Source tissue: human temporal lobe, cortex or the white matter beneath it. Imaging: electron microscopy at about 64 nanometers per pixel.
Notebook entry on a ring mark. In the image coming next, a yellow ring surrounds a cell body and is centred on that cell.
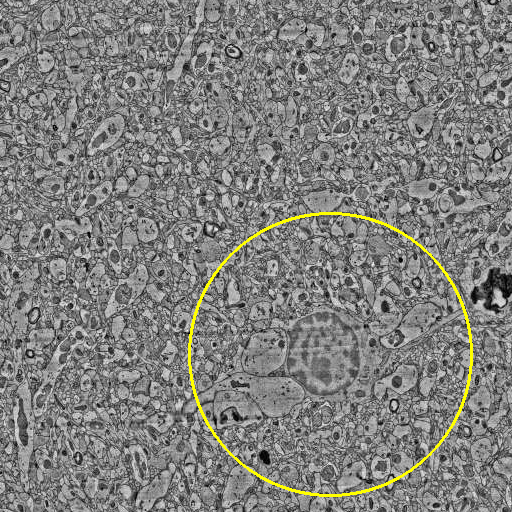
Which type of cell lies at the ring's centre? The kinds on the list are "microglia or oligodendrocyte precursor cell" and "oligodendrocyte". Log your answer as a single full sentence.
Centred in the yellow ring is an oligodendrocyte, the cell recorded for this image.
